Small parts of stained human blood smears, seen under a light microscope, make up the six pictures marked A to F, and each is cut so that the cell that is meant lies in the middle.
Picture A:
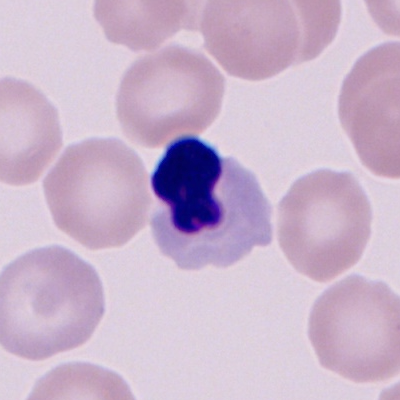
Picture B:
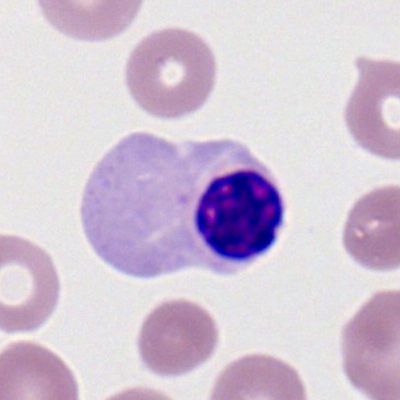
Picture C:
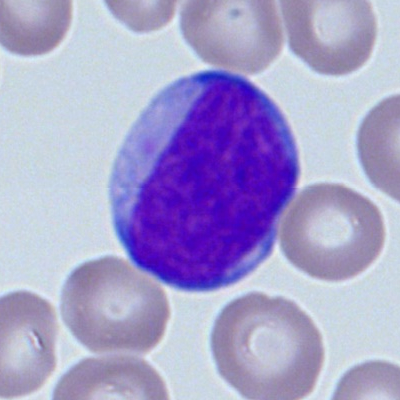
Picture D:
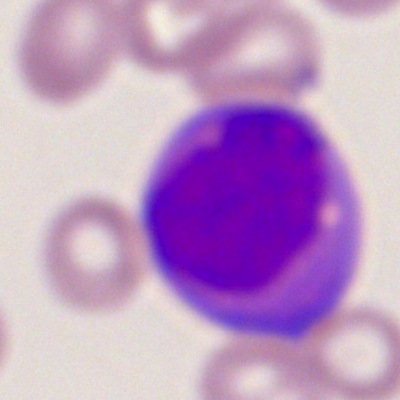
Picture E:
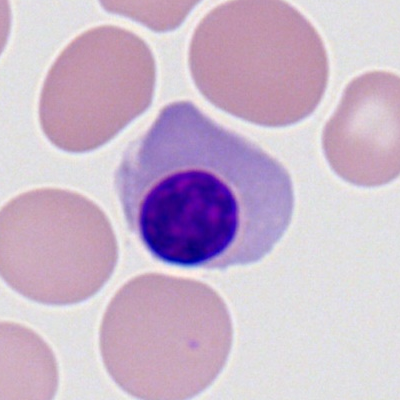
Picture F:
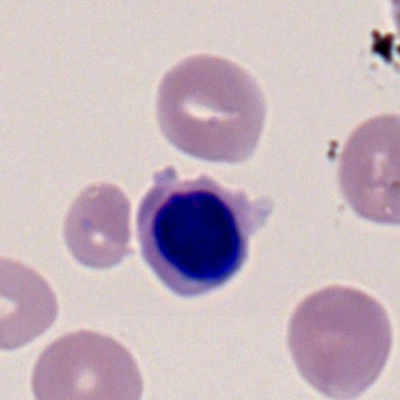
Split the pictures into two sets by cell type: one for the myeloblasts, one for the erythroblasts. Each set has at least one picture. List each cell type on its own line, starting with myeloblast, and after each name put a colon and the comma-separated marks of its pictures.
myeloblast: C, D
erythroblast: A, B, E, F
